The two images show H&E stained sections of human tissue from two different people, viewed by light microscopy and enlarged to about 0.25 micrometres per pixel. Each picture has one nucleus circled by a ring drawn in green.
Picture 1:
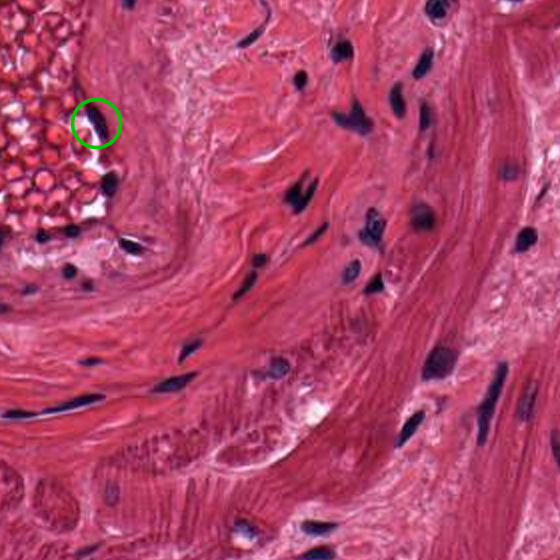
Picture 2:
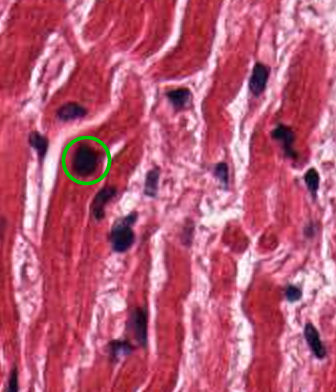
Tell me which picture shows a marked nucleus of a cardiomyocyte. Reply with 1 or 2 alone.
2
